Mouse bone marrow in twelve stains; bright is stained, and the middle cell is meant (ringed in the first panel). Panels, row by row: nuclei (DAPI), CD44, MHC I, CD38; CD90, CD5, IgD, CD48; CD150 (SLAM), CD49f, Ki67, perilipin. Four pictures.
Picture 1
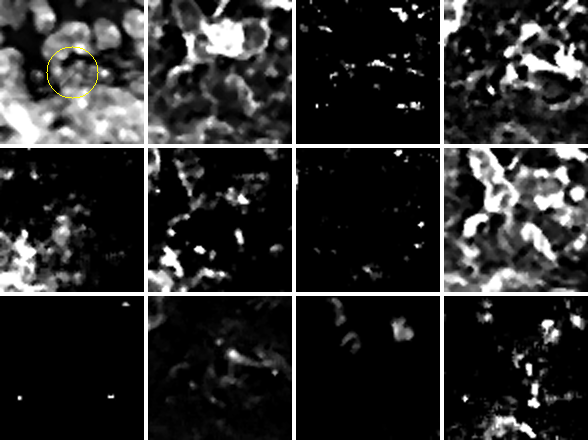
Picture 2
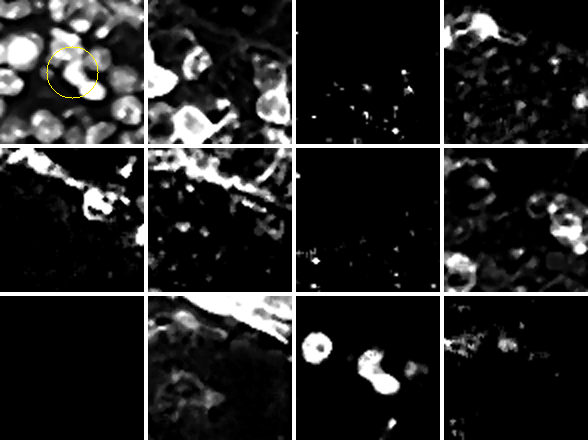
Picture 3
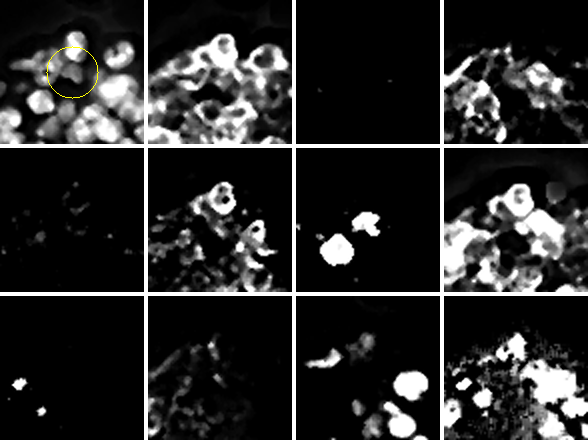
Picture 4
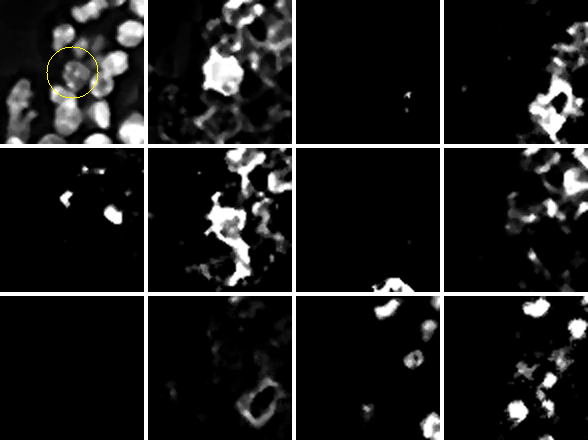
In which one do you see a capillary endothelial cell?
In picture 1.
